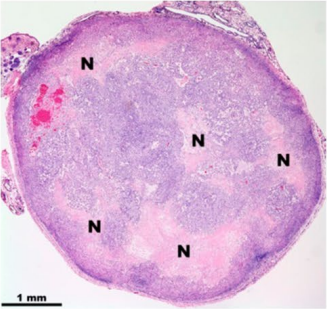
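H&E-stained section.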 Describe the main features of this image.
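A rim of dense purple viable tumor tissue lines the edge under a thin capsule. Inside, pale pink areas of necrosis lacking nuclei form irregular confluent zones, leaving islands of purple viable tumor between them. A small cluster of red blood cells lies near the upper left edge. Adjacent fat and loose tissue cling to the outer surface at top and left.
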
